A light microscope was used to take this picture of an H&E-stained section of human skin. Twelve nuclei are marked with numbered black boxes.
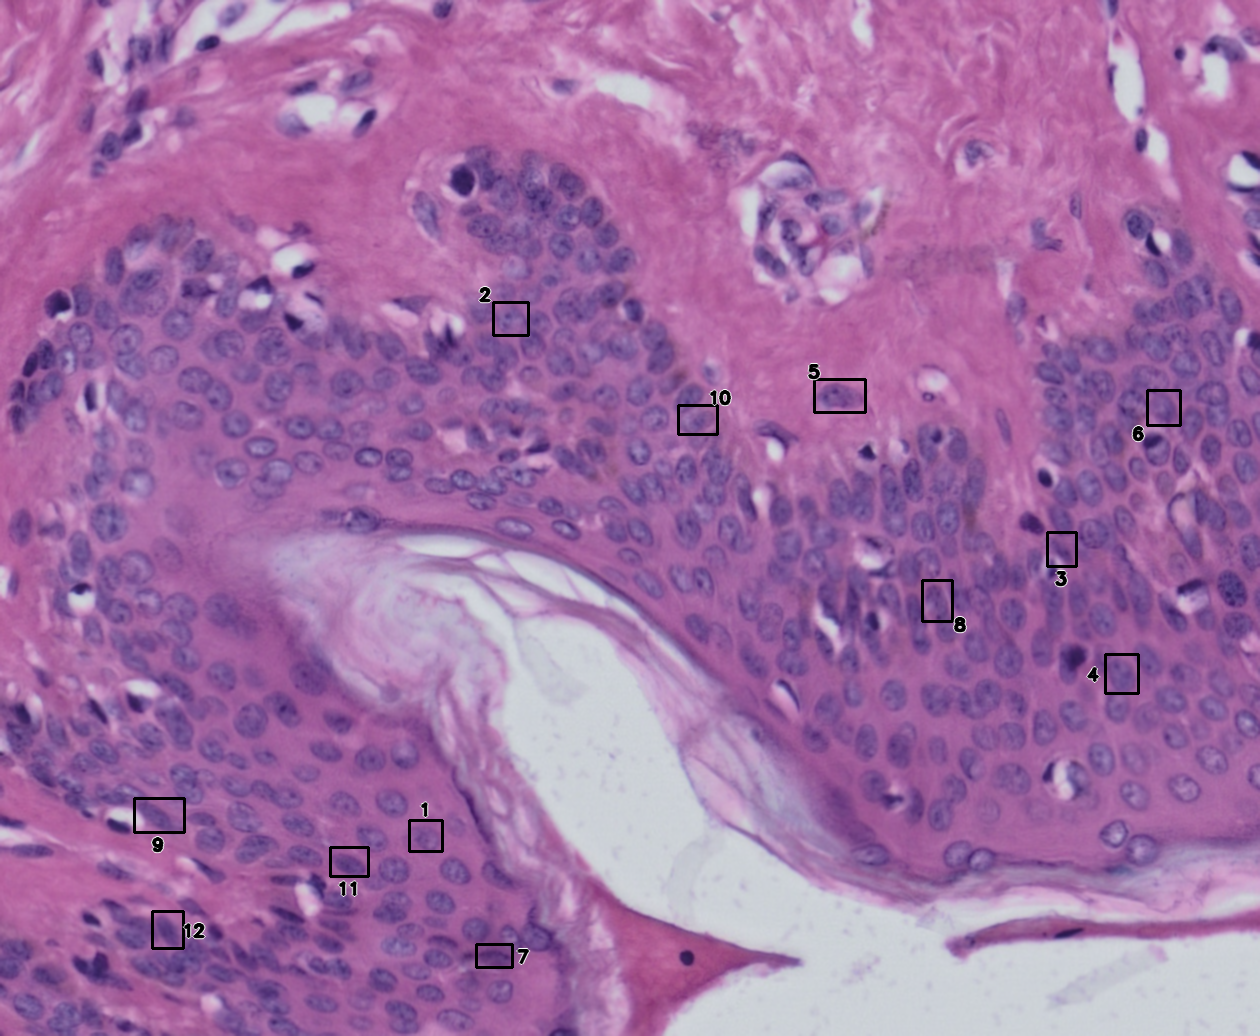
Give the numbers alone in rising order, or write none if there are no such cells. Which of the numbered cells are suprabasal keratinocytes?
1, 4, 7, 11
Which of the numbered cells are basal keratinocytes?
2, 3, 6, 8, 9, 10, 12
